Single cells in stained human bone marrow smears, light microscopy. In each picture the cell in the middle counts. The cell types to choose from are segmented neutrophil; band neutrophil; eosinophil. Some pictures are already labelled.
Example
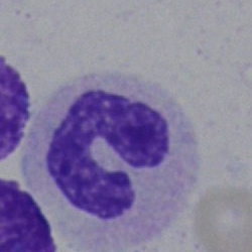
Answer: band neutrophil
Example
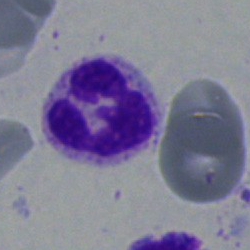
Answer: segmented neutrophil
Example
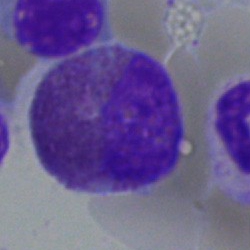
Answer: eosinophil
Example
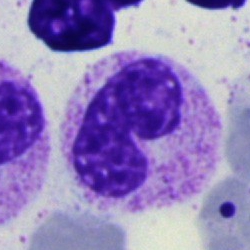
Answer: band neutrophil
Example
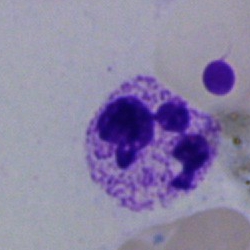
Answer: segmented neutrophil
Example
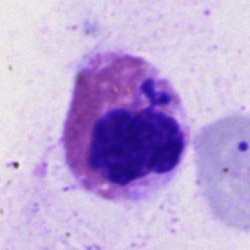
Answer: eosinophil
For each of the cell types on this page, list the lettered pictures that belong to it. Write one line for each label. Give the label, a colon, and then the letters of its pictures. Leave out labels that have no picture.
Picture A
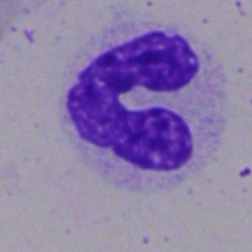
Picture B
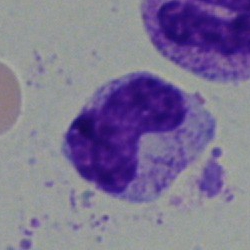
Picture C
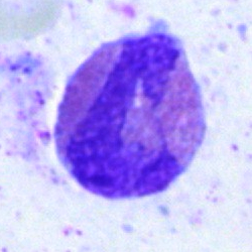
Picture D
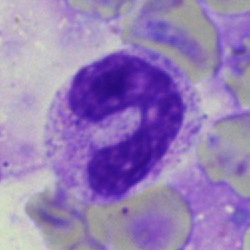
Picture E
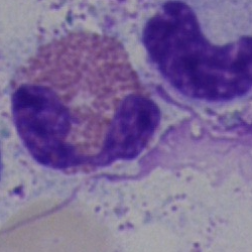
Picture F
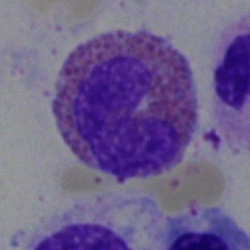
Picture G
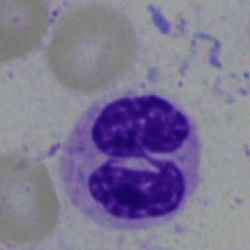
segmented neutrophil: G
band neutrophil: A, B, D
eosinophil: C, E, F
